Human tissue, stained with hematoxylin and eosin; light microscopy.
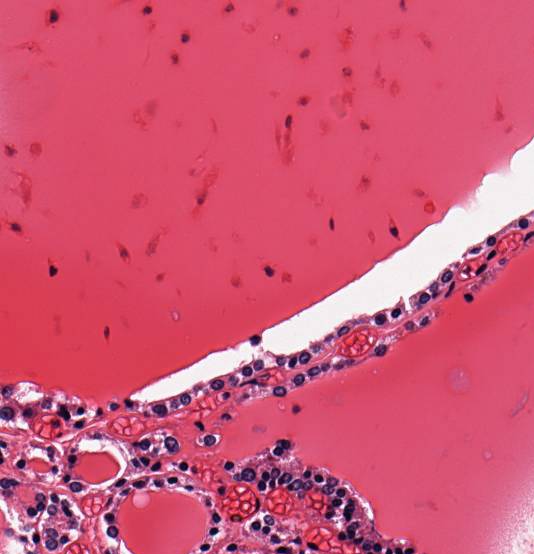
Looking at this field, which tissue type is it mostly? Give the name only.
thyroid follicle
